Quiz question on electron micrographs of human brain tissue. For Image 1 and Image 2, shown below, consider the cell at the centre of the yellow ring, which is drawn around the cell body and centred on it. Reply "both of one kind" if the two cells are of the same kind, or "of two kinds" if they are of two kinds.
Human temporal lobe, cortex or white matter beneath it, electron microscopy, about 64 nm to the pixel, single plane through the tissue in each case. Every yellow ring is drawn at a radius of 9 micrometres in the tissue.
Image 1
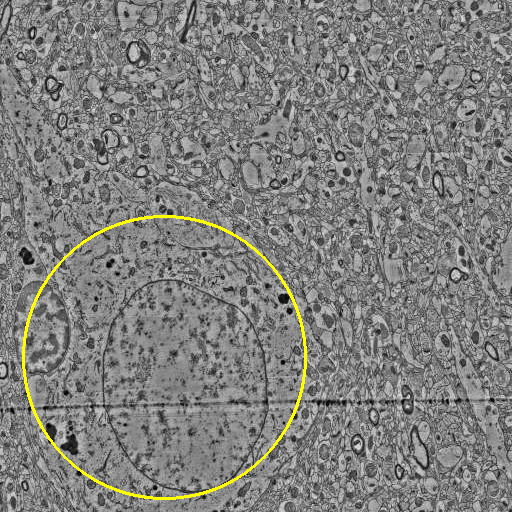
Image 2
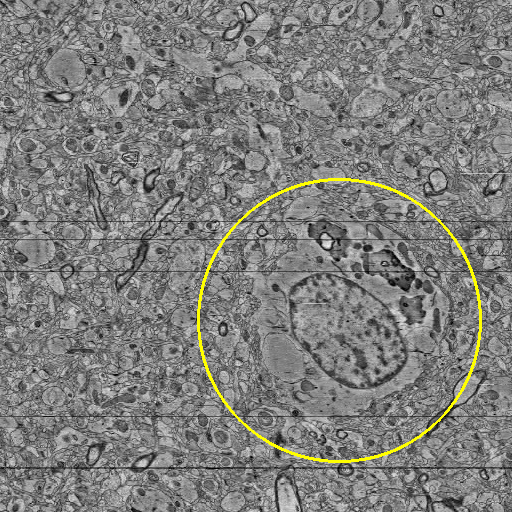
of two kinds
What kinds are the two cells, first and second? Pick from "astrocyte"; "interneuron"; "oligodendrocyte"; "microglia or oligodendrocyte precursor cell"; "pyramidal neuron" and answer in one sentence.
The second picture holds an astrocyte in its ring, and the first holds a pyramidal neuron.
